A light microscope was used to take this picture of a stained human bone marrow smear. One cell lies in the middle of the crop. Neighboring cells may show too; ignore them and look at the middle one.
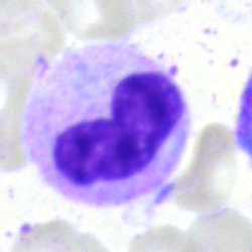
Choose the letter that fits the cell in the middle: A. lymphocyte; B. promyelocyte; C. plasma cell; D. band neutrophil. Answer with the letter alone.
D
